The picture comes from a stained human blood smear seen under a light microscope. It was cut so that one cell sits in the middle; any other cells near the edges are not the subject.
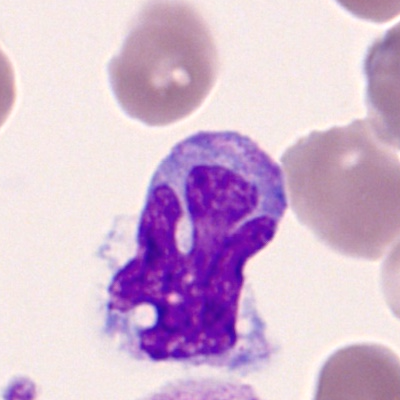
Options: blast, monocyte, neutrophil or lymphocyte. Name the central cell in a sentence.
As for the cell in the middle, it is a monocyte.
